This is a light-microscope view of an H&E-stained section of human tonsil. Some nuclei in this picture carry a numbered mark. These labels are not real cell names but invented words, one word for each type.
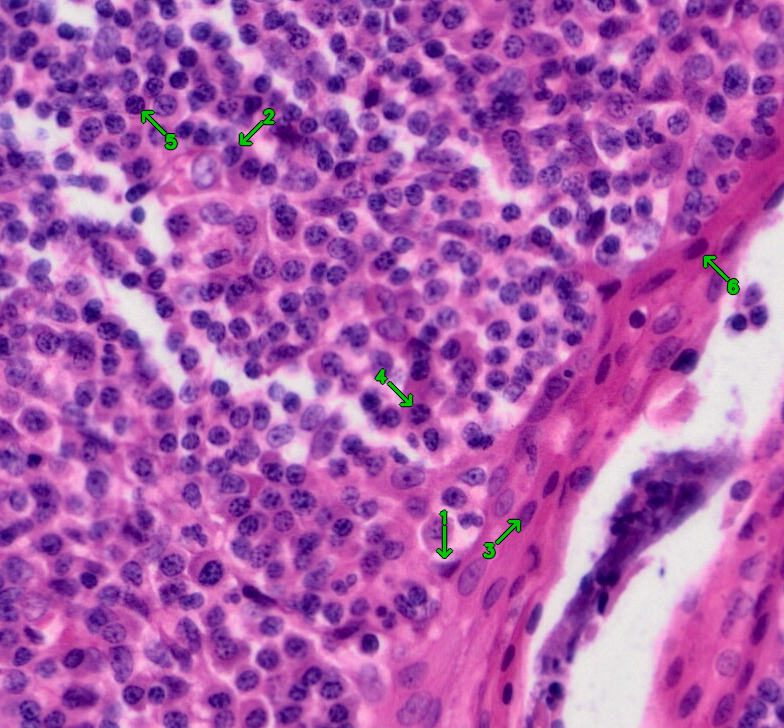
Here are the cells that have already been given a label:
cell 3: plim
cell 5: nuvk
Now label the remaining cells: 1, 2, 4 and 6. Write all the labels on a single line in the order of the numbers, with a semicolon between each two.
plim; nuvk; nuvk; plim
